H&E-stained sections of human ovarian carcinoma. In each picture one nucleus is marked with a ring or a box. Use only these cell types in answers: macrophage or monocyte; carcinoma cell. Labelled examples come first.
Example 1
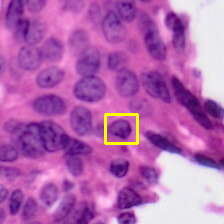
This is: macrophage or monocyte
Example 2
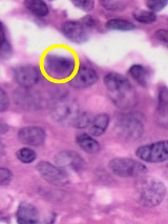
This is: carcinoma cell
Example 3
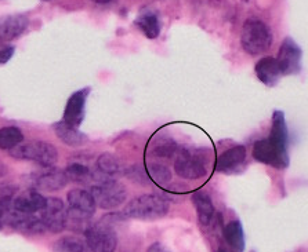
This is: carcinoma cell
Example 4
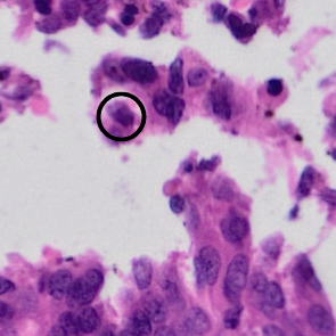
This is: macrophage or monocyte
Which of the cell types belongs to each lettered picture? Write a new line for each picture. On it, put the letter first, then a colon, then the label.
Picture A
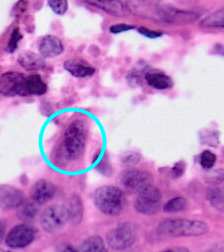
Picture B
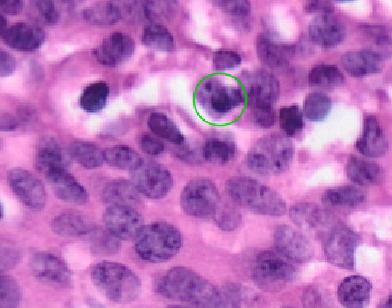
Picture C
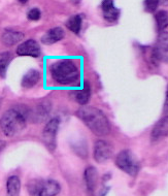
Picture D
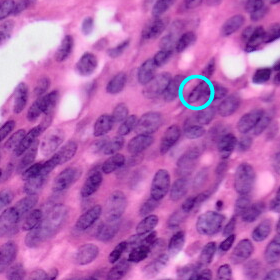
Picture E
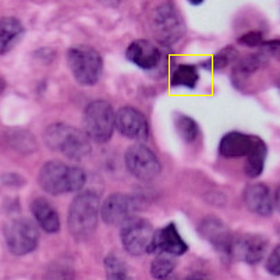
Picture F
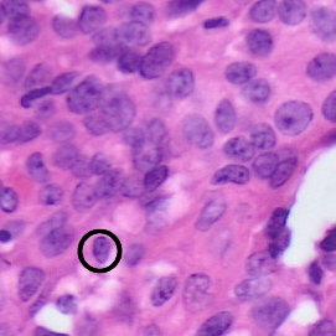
A: carcinoma cell
B: macrophage or monocyte
C: carcinoma cell
D: carcinoma cell
E: carcinoma cell
F: macrophage or monocyte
